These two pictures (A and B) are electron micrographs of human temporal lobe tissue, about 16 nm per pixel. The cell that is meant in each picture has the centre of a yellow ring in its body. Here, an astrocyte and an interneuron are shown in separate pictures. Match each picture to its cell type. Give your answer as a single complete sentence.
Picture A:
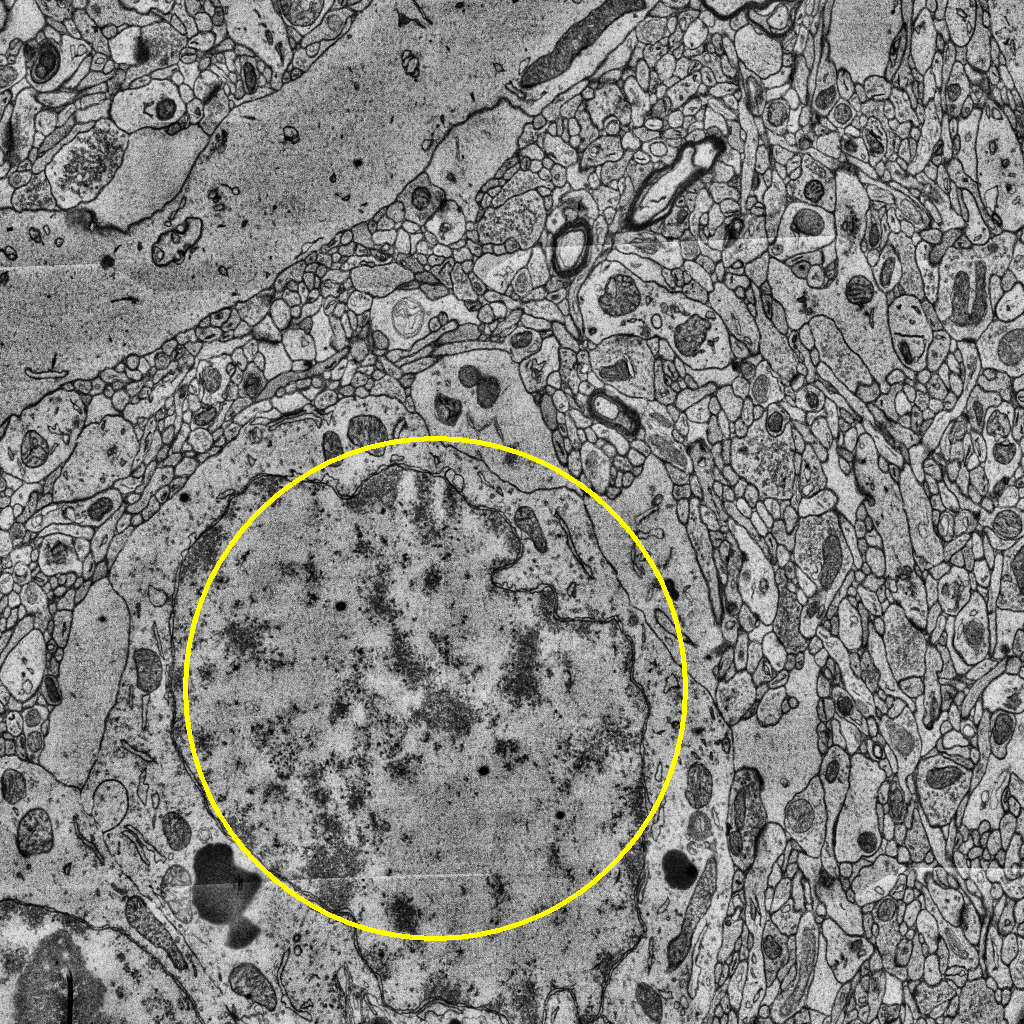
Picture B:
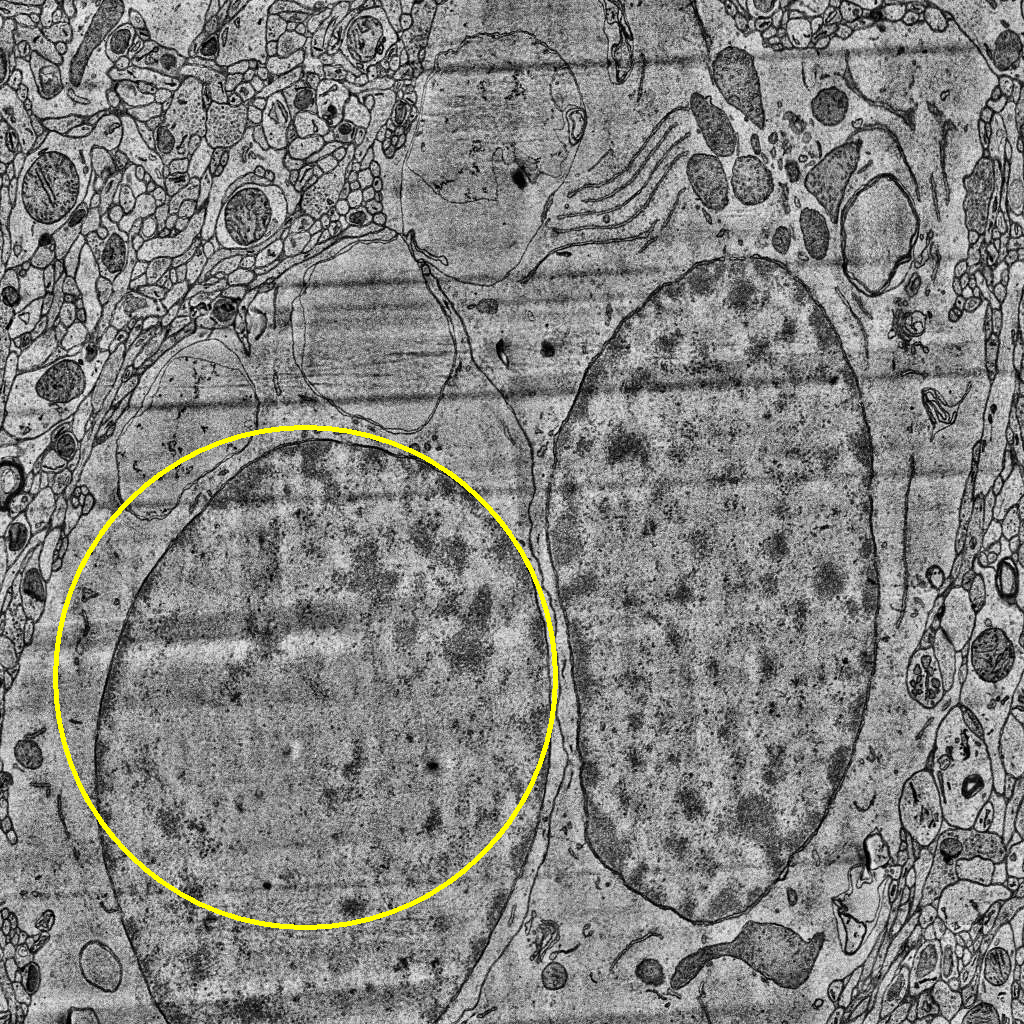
Picture A shows an interneuron and picture B shows an astrocyte.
